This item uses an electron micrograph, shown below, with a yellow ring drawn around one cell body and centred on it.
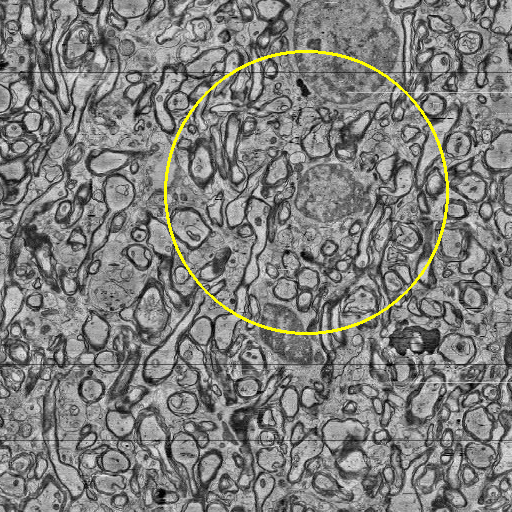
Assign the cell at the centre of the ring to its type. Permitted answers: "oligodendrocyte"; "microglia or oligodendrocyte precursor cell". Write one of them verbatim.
oligodendrocyte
